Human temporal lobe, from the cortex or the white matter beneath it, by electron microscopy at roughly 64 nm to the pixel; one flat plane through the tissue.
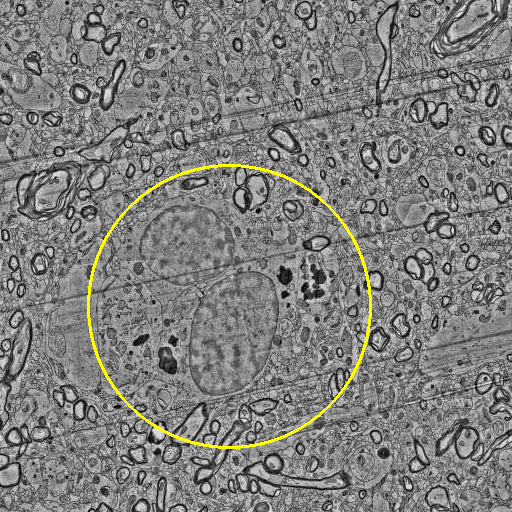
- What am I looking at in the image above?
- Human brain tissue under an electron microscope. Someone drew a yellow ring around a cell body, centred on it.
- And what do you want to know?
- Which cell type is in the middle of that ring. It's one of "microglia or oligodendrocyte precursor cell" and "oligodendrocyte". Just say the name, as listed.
oligodendrocyte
